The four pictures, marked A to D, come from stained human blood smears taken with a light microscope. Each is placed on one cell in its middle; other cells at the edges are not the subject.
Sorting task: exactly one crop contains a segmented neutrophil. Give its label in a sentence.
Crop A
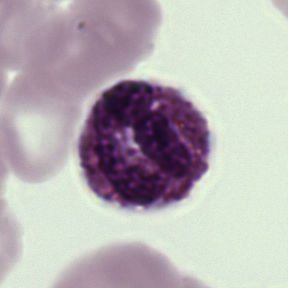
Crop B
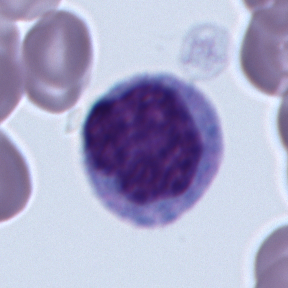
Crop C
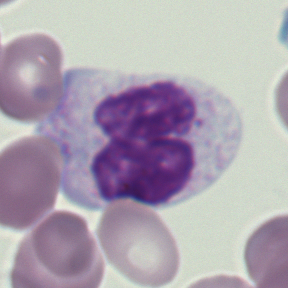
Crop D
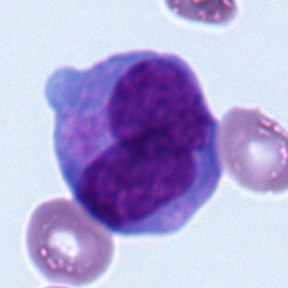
The crop with a segmented neutrophil in it is crop C.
